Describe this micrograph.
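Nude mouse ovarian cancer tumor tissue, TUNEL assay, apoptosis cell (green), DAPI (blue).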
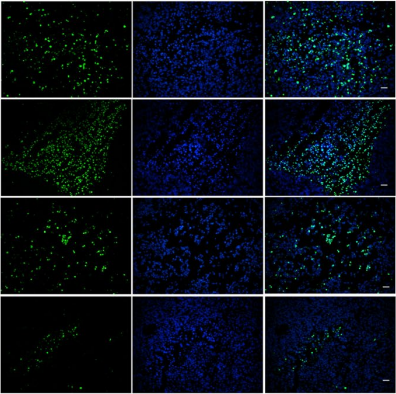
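The blue channel shows a dense sheet of closely packed nuclei throughout the tissue. The green labelling takes the form of small discrete dots scattered among these nuclei. In the merged images the green dots sit on nuclei. Their number varies widely from row to row, with some rows crowded with green and others showing only a few.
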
